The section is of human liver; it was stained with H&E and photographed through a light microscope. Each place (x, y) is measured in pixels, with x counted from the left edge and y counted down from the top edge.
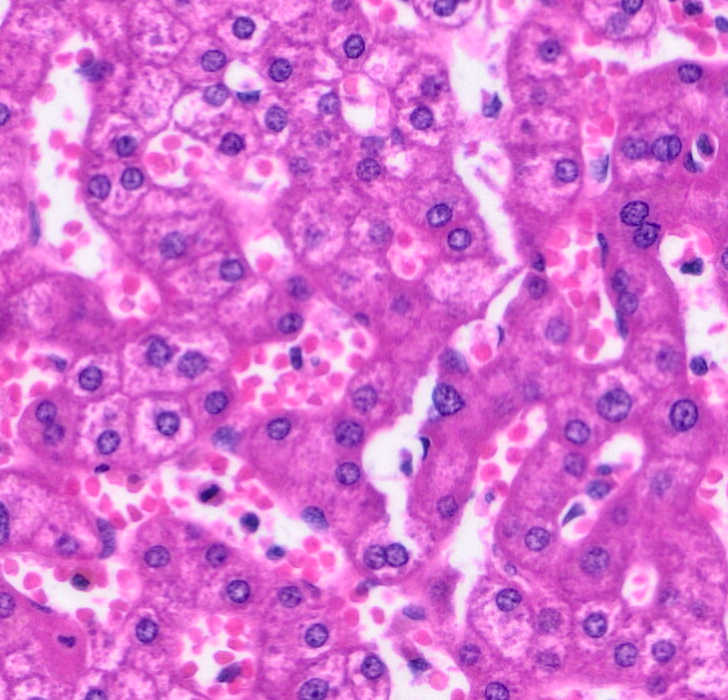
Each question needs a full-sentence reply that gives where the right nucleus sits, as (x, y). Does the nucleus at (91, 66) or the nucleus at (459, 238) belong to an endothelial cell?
Of the two nuclei, that at (91, 66) is the nucleus of an endothelial cell.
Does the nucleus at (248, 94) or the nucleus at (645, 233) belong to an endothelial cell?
The nucleus belonging to an endothelial cell is the one at (248, 94).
